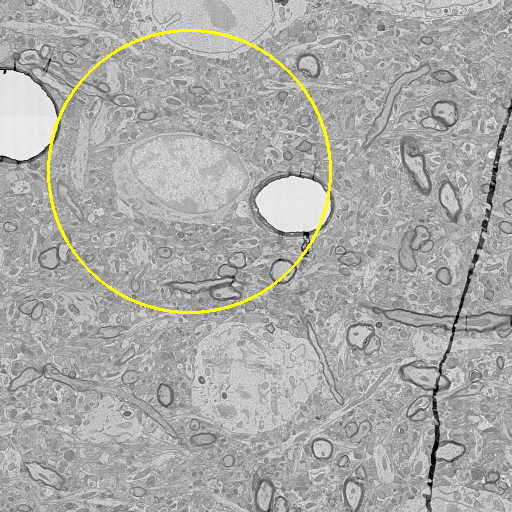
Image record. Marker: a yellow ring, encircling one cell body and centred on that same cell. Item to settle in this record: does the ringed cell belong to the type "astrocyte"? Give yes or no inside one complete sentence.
No, in the picture, the cell centred within the yellow ring is of a different type.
